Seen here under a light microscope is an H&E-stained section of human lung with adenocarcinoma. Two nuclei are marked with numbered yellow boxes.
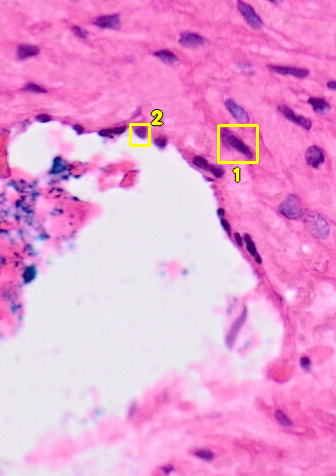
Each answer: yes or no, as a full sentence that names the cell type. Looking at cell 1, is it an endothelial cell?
No, the cell given the number 1 is a smooth muscle cell or pericyte, so not an endothelial cell.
